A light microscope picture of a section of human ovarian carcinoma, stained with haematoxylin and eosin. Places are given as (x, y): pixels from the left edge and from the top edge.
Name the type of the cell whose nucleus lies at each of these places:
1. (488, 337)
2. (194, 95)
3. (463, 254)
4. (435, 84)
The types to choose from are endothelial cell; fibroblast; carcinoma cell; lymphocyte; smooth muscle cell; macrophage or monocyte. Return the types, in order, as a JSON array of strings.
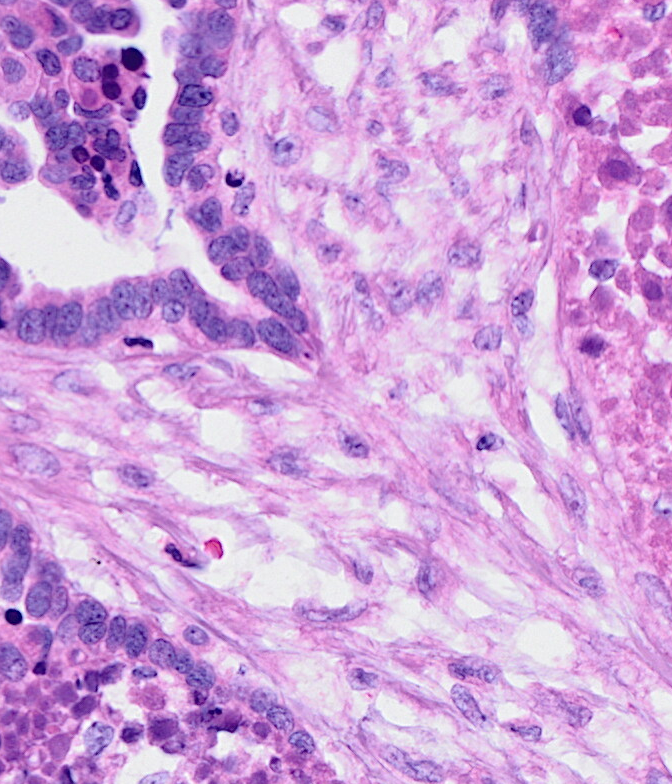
["fibroblast", "carcinoma cell", "fibroblast", "fibroblast"]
